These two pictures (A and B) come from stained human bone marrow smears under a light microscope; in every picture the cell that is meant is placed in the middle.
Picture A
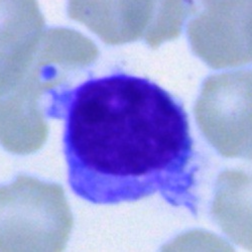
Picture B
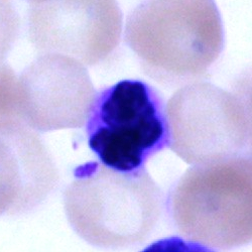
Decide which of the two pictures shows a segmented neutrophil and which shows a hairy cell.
A: hairy cell
B: segmented neutrophil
